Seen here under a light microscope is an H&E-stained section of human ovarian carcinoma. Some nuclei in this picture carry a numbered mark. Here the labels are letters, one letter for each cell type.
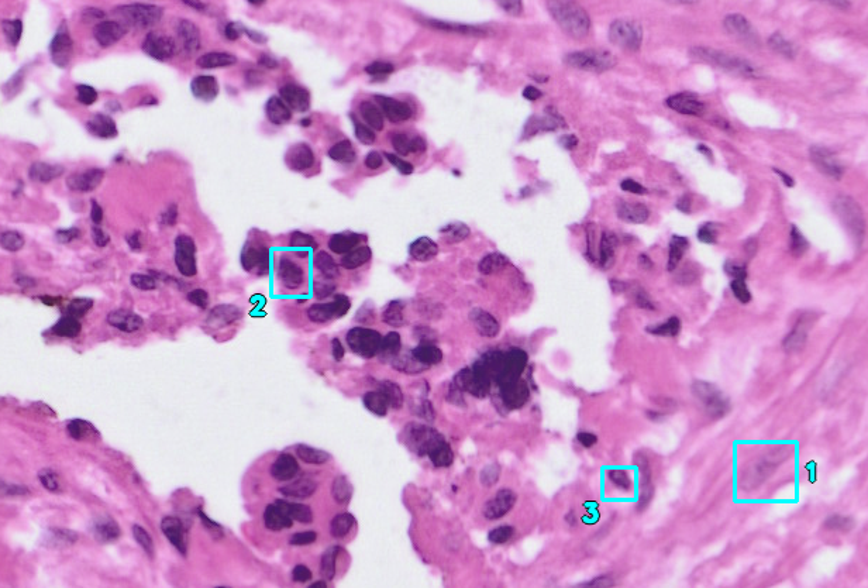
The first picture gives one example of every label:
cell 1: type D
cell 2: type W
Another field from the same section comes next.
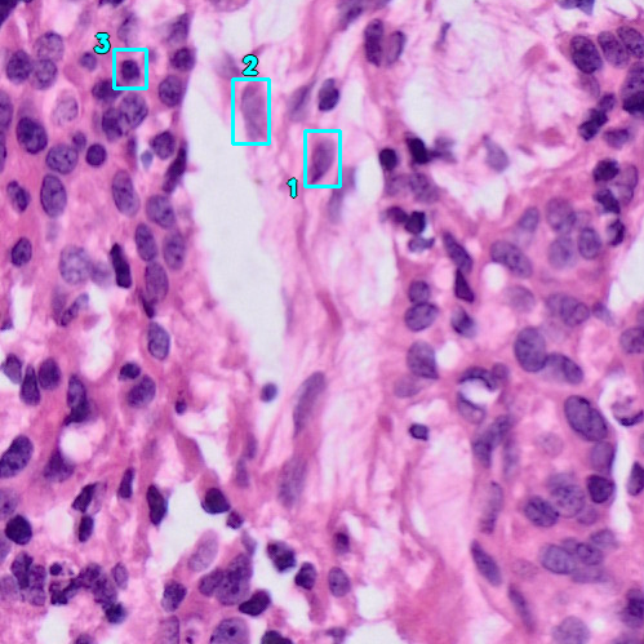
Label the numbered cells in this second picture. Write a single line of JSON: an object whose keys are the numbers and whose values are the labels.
{"1": "type D", "2": "type D", "3": "type W"}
